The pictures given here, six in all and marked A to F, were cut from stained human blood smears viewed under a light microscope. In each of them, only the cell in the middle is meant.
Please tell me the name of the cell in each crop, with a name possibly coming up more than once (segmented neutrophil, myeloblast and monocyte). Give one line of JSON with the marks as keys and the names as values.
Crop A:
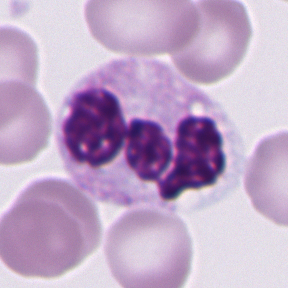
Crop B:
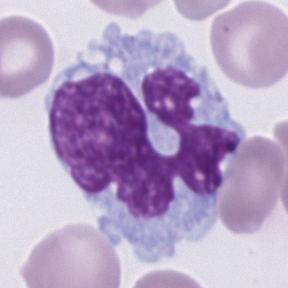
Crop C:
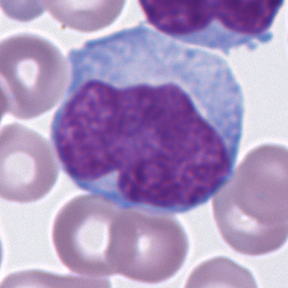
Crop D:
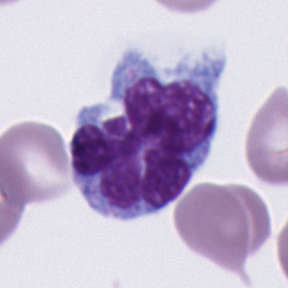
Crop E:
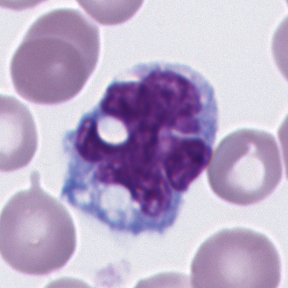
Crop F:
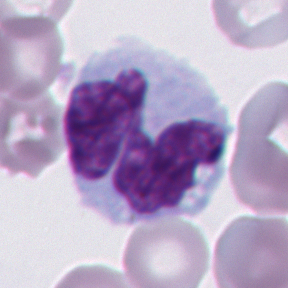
{"A": "segmented neutrophil", "B": "monocyte", "C": "myeloblast", "D": "monocyte", "E": "monocyte", "F": "monocyte"}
